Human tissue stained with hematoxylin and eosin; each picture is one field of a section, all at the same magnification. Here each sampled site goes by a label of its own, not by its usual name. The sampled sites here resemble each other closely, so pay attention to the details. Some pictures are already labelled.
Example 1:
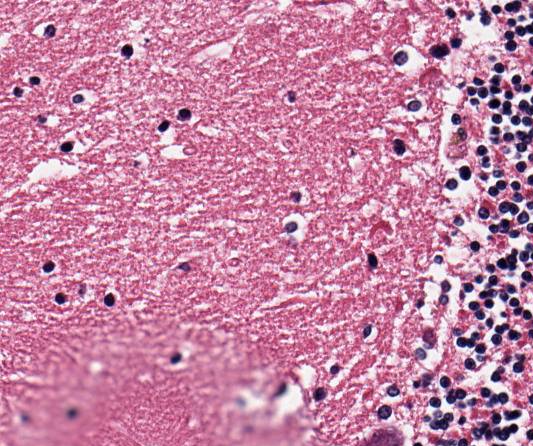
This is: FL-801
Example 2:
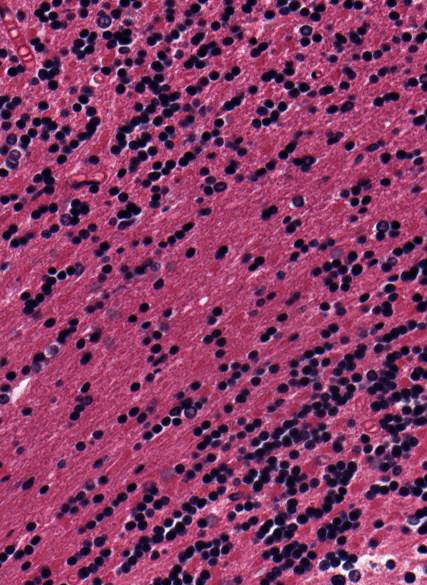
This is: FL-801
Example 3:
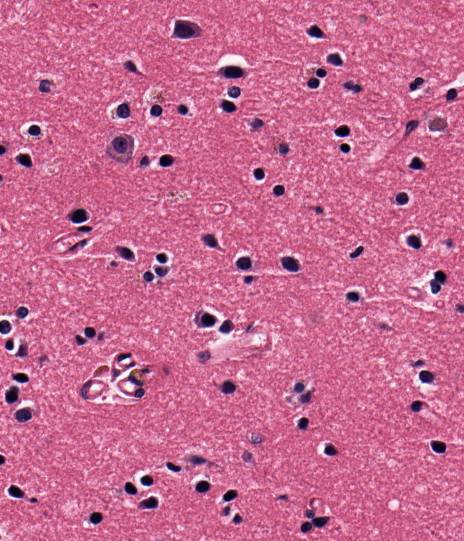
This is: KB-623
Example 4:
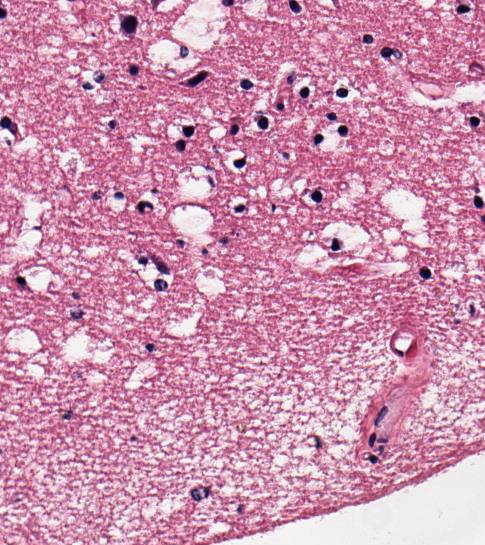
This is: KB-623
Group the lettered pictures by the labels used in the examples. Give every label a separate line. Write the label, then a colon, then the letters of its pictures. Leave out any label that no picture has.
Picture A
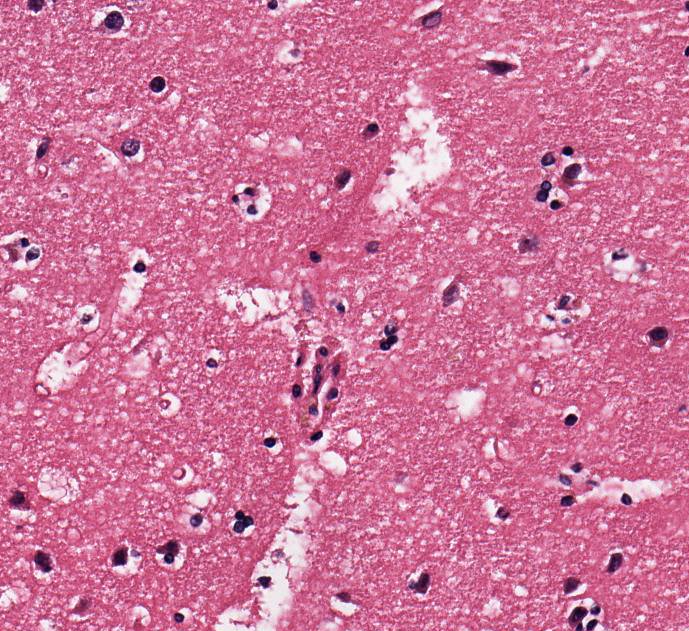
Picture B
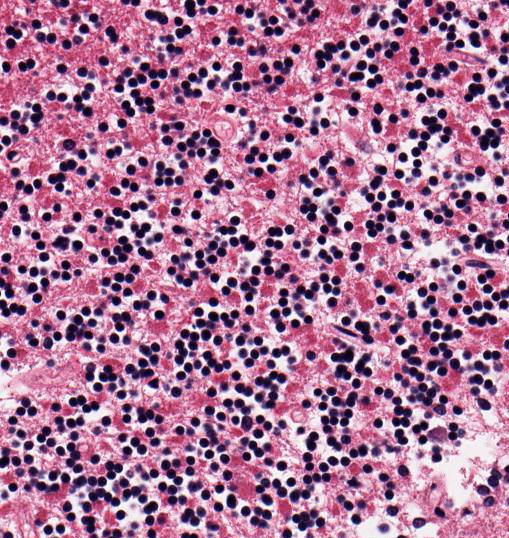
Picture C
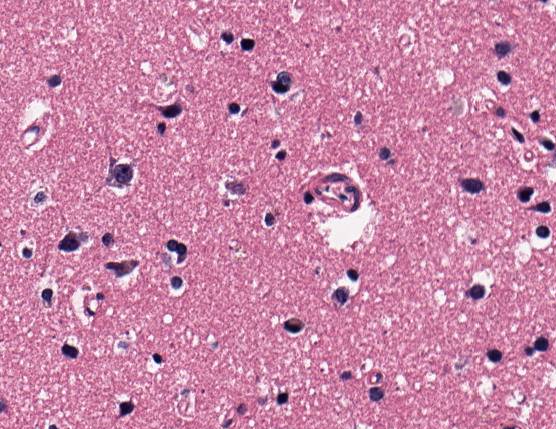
FL-801: B
KB-623: A, C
